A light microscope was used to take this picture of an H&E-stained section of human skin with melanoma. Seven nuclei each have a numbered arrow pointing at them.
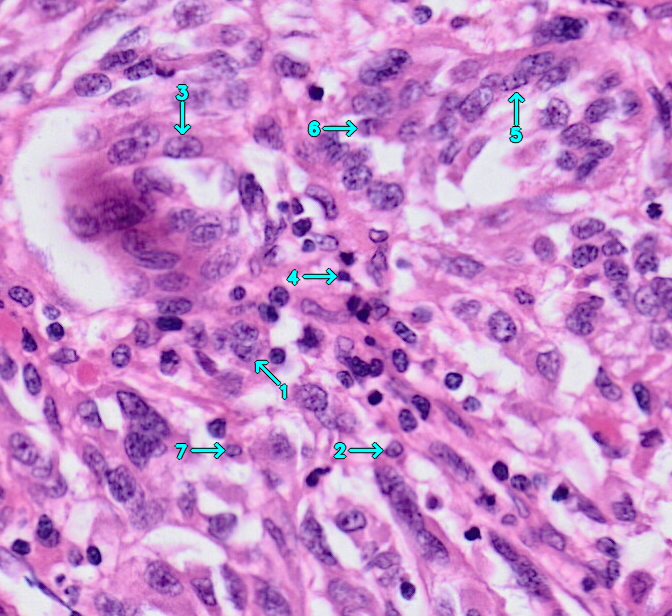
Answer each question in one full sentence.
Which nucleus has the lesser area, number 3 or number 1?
It is nucleus 1; nucleus 3 has about 2.5 times its area.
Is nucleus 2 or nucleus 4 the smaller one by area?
Number 4 is smaller, since number 2 takes up about 1.5 times as much area.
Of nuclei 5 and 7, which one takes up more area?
It is nucleus 5, which covers about 1.5 times the area of nucleus 7.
